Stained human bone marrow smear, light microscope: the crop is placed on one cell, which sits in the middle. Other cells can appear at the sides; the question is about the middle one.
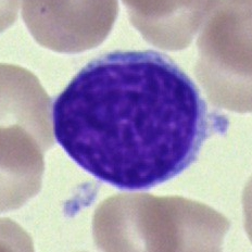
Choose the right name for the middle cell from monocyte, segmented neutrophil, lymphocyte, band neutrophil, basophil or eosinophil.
lymphocyte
